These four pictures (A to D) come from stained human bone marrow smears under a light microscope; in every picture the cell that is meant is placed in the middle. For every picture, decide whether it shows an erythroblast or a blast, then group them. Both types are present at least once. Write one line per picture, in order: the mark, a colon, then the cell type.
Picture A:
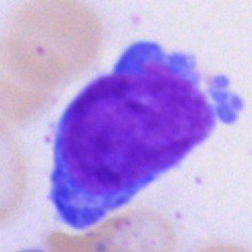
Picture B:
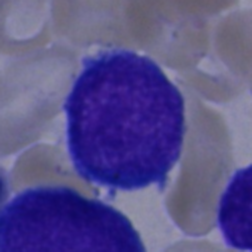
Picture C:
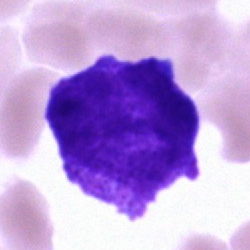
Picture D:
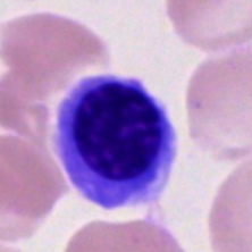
A: blast
B: blast
C: blast
D: erythroblast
